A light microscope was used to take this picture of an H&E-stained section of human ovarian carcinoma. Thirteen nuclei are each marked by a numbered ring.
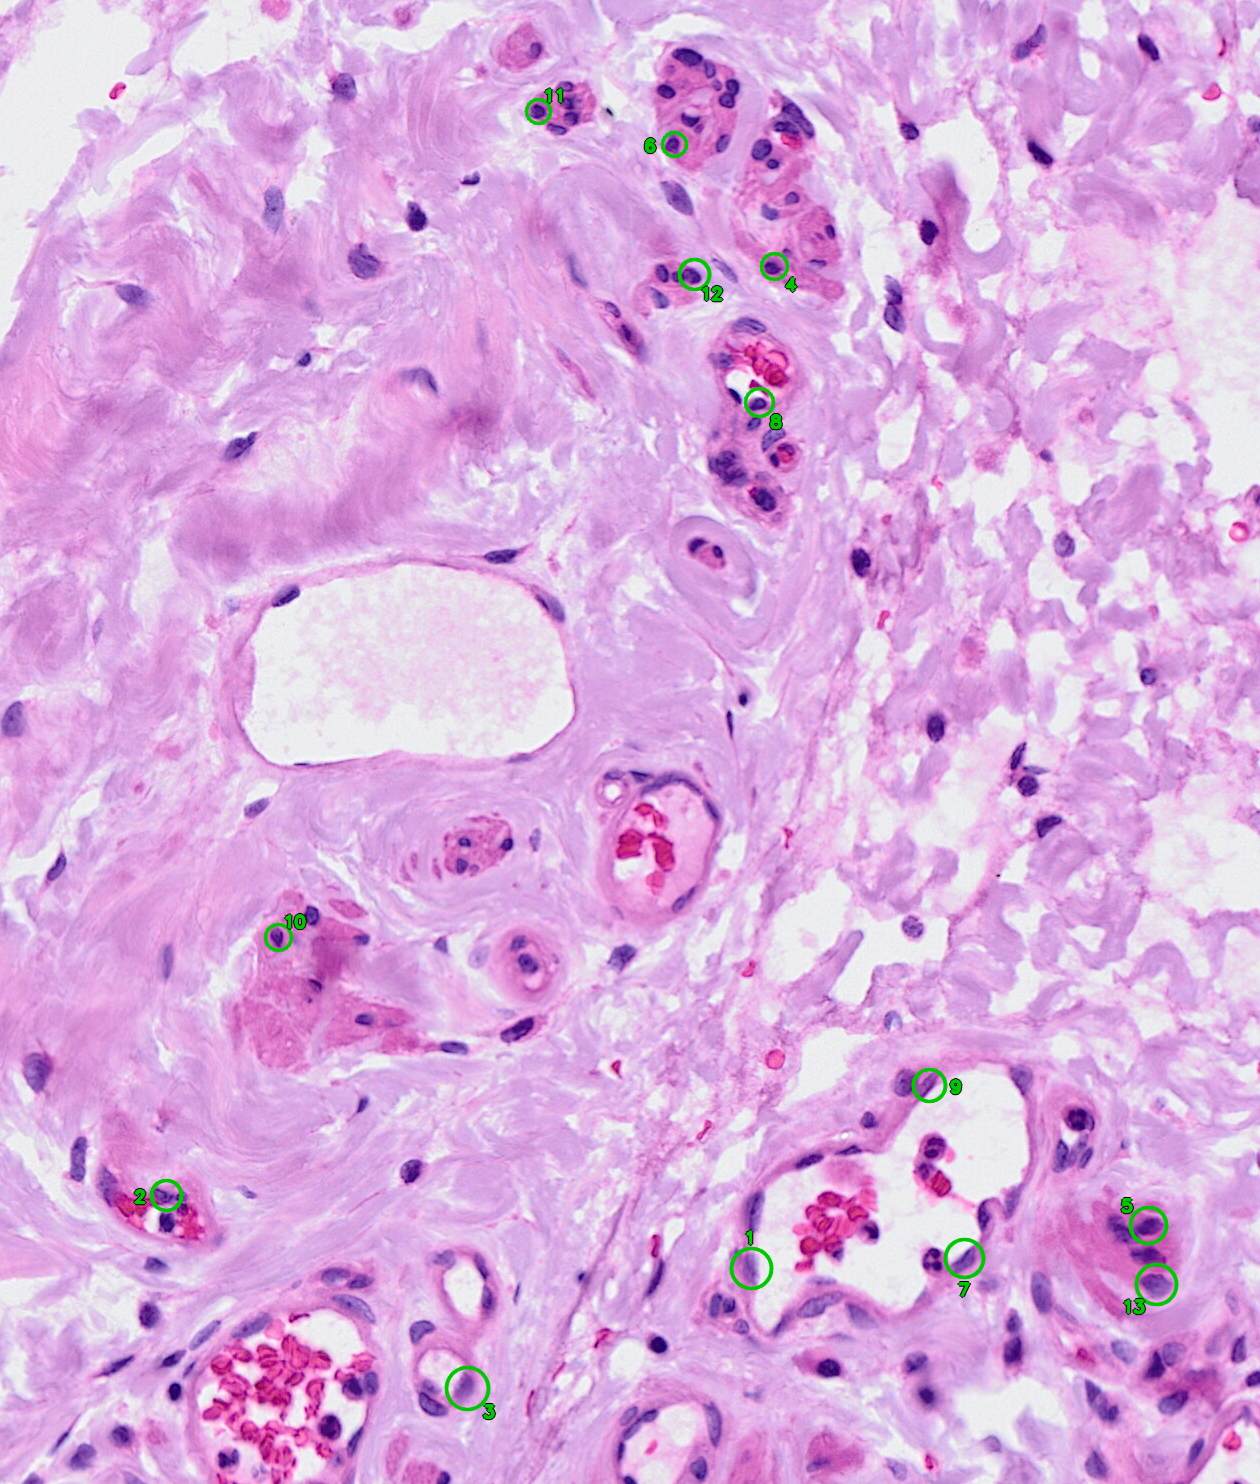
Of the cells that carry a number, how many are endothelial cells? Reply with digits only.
6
